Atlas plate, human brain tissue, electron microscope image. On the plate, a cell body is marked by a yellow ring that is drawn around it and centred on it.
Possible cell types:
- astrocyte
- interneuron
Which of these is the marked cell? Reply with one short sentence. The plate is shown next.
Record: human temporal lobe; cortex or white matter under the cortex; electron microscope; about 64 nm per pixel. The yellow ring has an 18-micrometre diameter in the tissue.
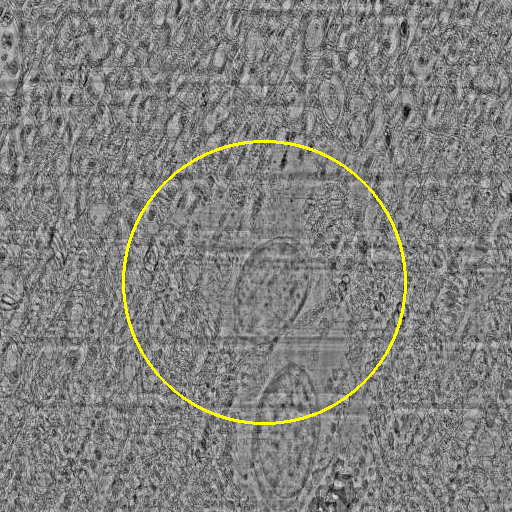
The marked cell is an astrocyte.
